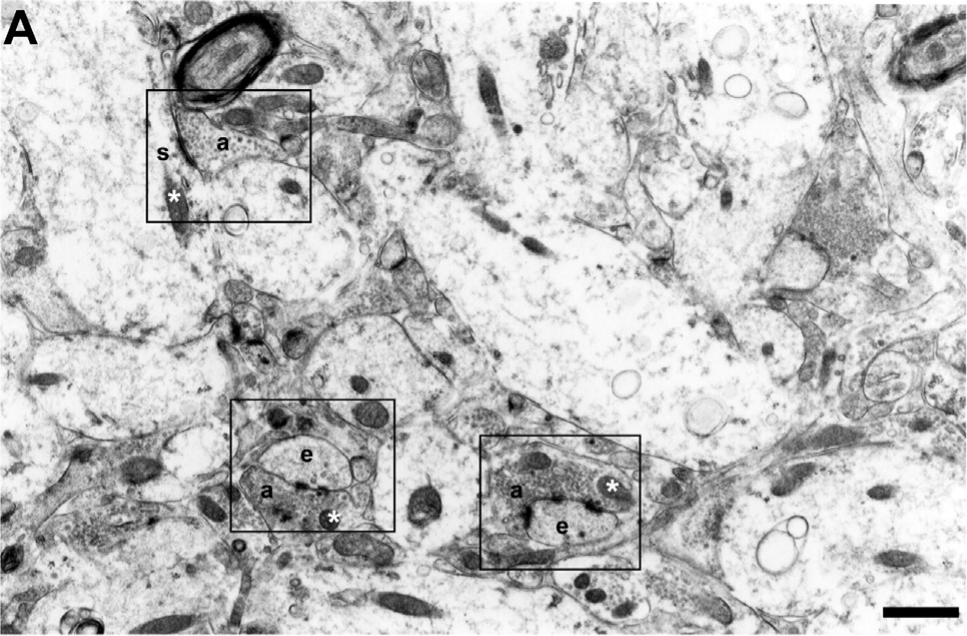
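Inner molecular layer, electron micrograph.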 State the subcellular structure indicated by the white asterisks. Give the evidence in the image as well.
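Each asterisk lies on a small dark oval organelle inside a membrane-bound profile. The answer: mitochondrion.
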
